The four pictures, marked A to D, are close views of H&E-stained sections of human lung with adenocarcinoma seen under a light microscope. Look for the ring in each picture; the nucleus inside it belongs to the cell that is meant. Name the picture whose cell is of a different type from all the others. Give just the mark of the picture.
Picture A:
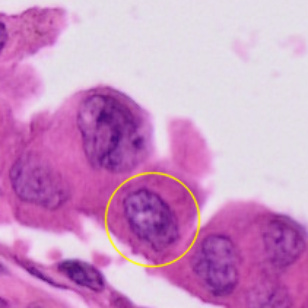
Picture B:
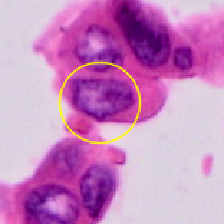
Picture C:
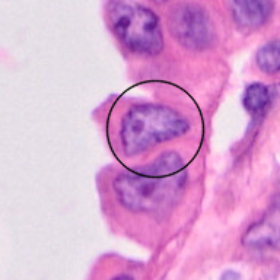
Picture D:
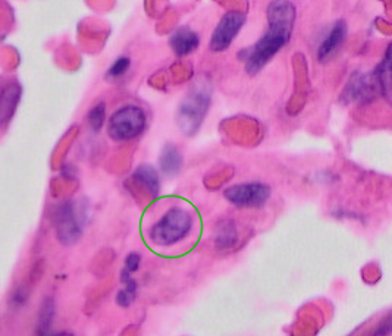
D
